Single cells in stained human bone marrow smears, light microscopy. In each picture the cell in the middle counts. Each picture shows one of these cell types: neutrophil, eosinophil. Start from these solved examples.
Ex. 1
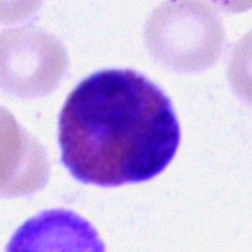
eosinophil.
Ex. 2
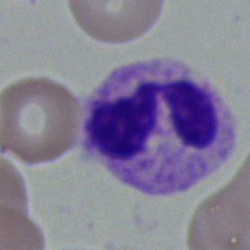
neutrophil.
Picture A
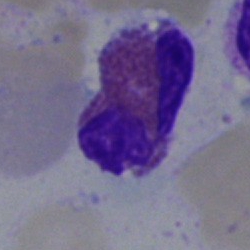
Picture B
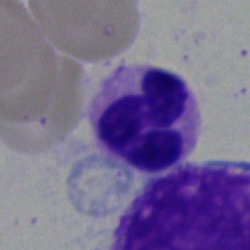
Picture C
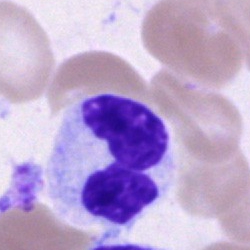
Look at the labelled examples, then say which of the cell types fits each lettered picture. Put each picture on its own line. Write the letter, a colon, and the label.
A: eosinophil.
B: neutrophil.
C: neutrophil.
